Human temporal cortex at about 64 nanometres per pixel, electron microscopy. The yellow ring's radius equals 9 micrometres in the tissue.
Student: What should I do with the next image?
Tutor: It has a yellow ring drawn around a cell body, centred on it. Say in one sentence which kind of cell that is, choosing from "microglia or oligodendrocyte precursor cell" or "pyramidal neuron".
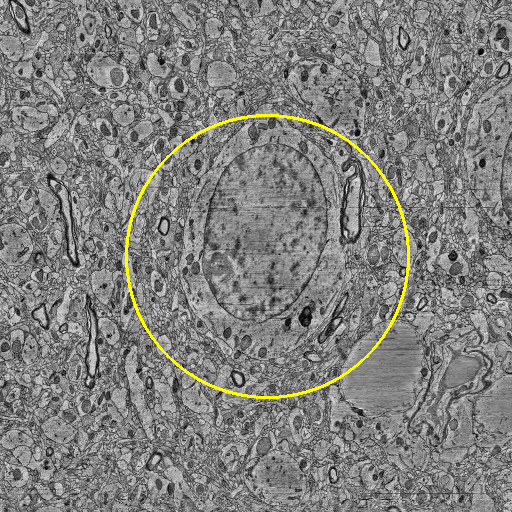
The ring's centre is occupied by a pyramidal neuron.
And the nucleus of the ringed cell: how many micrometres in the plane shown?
Clearly longer than it is wide in this plane, the nucleus measures roughly 12 by 8 micrometres.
